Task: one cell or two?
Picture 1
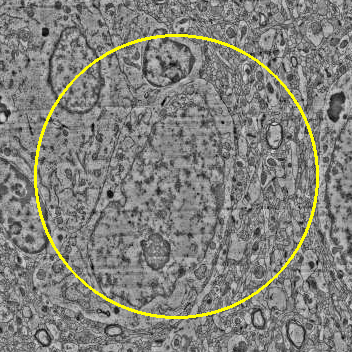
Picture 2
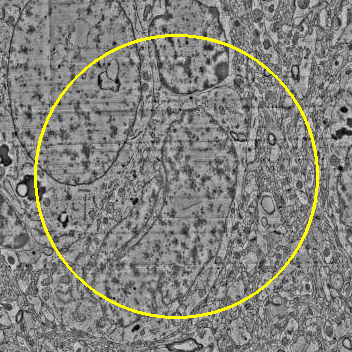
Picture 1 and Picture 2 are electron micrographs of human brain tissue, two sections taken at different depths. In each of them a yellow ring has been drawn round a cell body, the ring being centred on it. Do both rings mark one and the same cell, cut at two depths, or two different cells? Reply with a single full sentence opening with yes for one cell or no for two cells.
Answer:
Yes, a single cell is marked twice, once by each yellow ring.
